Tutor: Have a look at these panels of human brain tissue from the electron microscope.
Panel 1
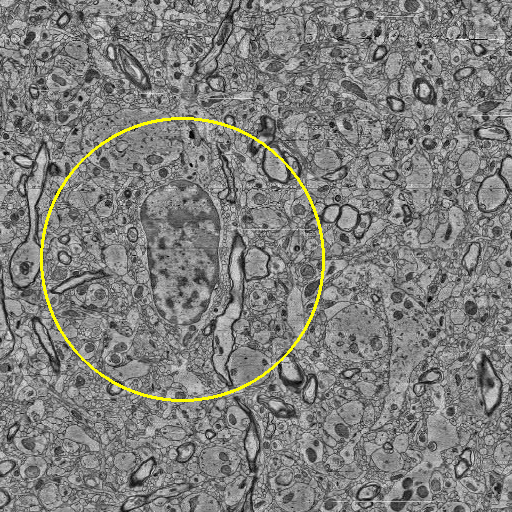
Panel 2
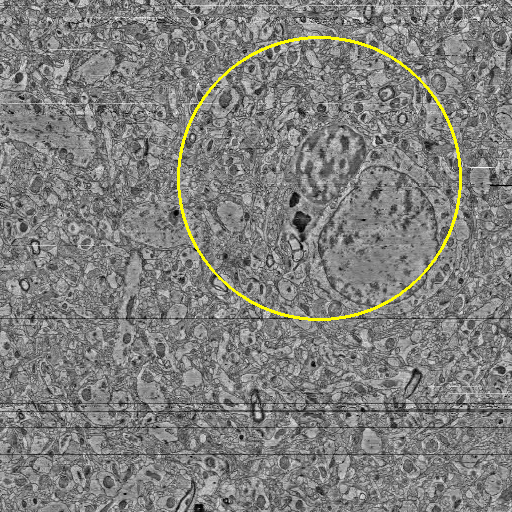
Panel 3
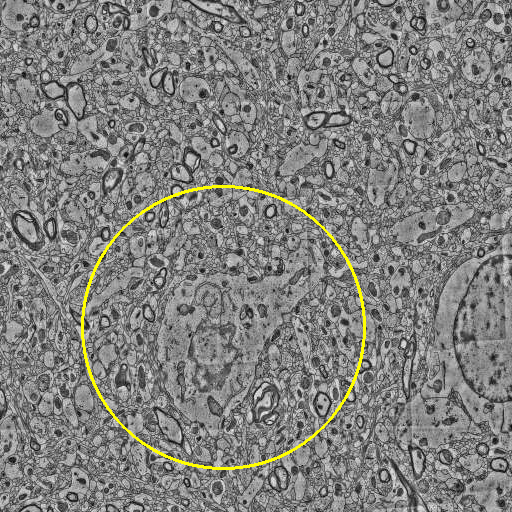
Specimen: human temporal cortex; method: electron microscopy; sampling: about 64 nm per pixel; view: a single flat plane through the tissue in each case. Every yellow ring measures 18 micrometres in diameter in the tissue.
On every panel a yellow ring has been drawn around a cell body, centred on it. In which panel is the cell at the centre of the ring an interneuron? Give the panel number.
3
